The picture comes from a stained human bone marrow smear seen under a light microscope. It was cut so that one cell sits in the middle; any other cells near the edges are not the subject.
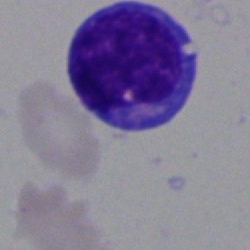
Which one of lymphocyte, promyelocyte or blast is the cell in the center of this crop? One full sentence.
The centered cell in this crop is a blast.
